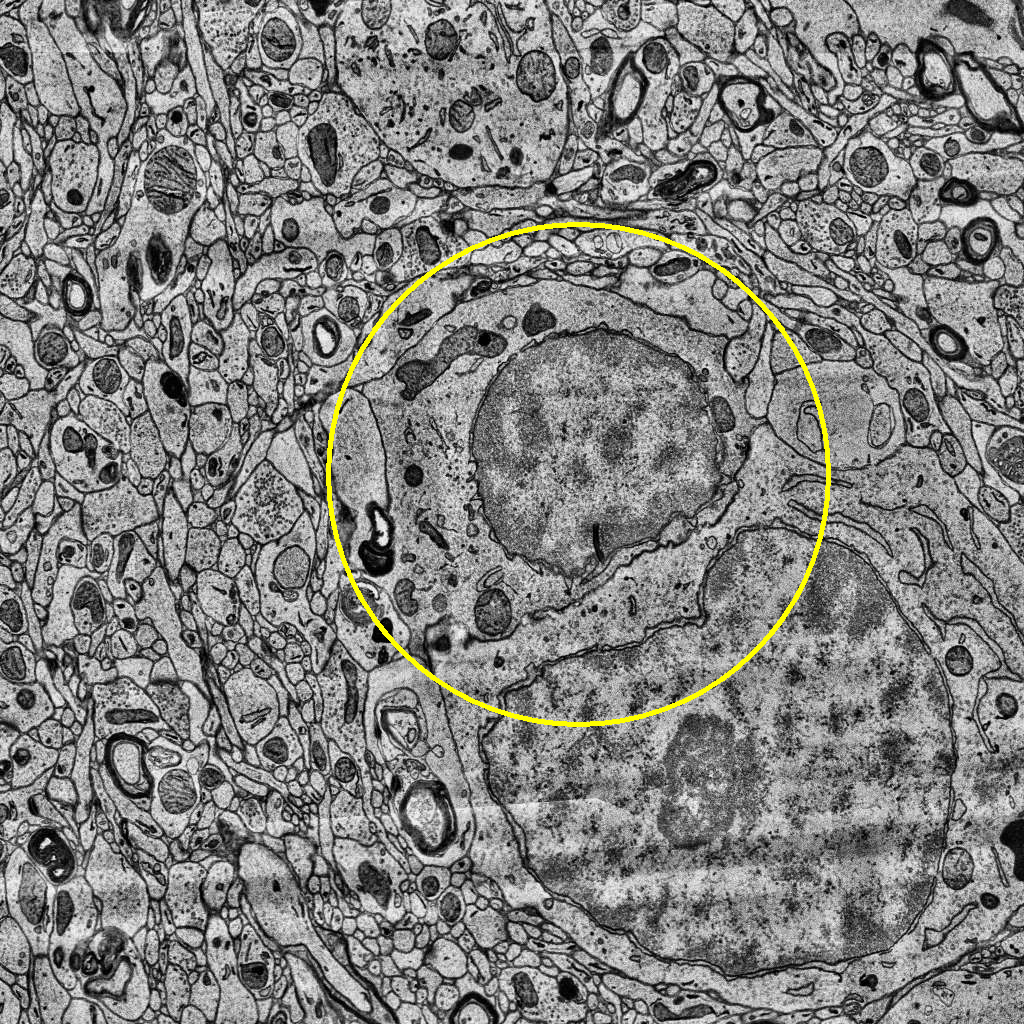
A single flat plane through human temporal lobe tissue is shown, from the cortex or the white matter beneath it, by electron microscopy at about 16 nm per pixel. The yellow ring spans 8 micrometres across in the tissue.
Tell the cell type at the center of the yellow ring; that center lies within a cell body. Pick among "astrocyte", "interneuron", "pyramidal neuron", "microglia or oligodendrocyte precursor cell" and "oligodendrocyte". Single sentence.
The ring's center lies in the body of an oligodendrocyte.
